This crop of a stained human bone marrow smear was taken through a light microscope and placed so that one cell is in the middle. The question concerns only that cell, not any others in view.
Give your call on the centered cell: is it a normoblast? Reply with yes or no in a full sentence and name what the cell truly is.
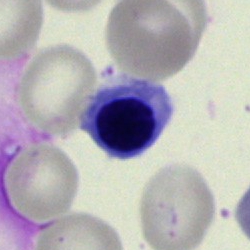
Yes, the cell shown in the middle is a normoblast.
